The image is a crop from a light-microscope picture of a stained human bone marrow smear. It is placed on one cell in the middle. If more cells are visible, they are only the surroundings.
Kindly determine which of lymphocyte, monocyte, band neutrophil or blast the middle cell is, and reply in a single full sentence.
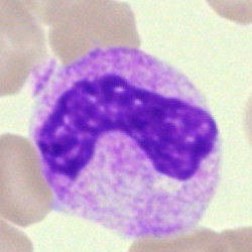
The middle position in this crop is taken by a band neutrophil.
